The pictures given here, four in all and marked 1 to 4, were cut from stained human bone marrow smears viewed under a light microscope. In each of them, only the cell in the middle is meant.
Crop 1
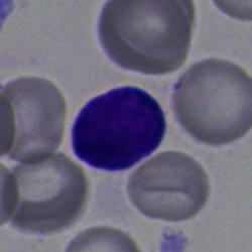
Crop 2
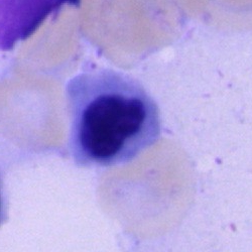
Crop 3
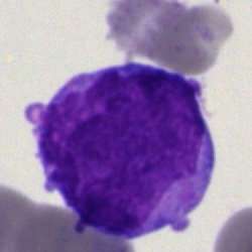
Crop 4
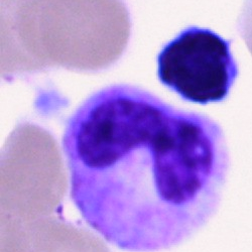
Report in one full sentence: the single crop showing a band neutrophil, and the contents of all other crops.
To sum up, crop 4 shows a band neutrophil, while crop 1 is a lymphocyte, crop 2 is an erythroblast and crop 3 is a blast.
